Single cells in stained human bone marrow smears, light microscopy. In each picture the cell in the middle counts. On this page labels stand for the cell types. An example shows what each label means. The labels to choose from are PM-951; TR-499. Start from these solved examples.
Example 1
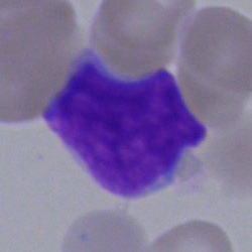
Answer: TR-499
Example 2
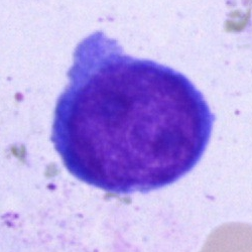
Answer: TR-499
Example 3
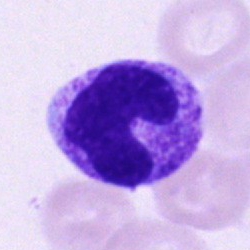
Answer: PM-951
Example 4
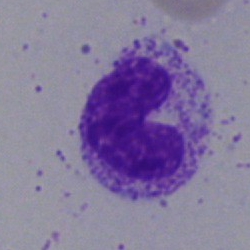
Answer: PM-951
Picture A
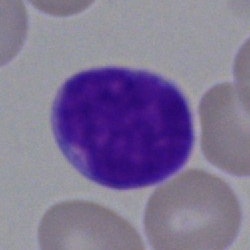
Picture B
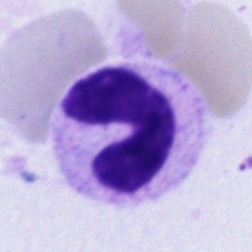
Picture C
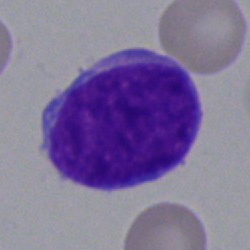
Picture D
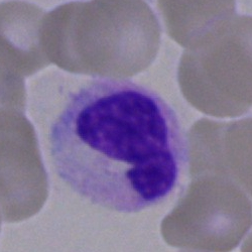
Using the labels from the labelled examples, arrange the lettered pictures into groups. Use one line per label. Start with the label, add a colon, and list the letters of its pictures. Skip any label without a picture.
PM-951: B, D
TR-499: A, C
